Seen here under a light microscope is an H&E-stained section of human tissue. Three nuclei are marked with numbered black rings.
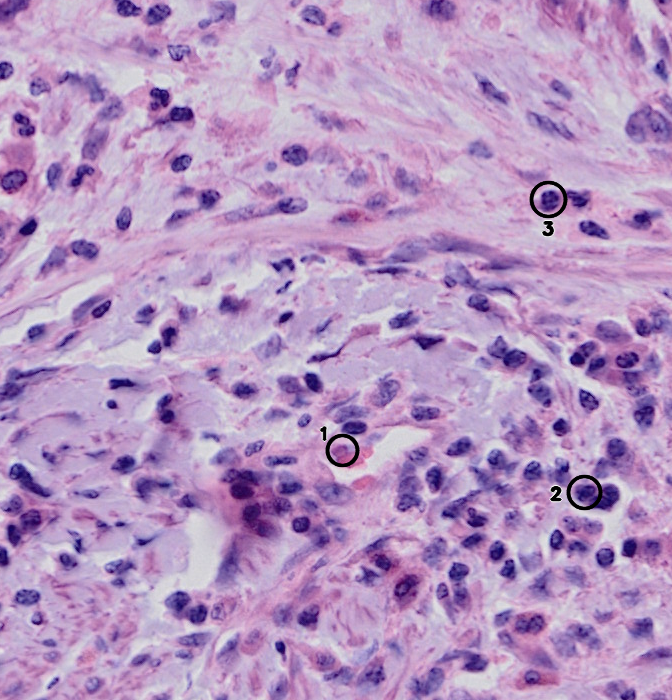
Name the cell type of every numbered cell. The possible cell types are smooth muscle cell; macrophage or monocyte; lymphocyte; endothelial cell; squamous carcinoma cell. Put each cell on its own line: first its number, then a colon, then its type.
1: endothelial cell
2: lymphocyte
3: lymphocyte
